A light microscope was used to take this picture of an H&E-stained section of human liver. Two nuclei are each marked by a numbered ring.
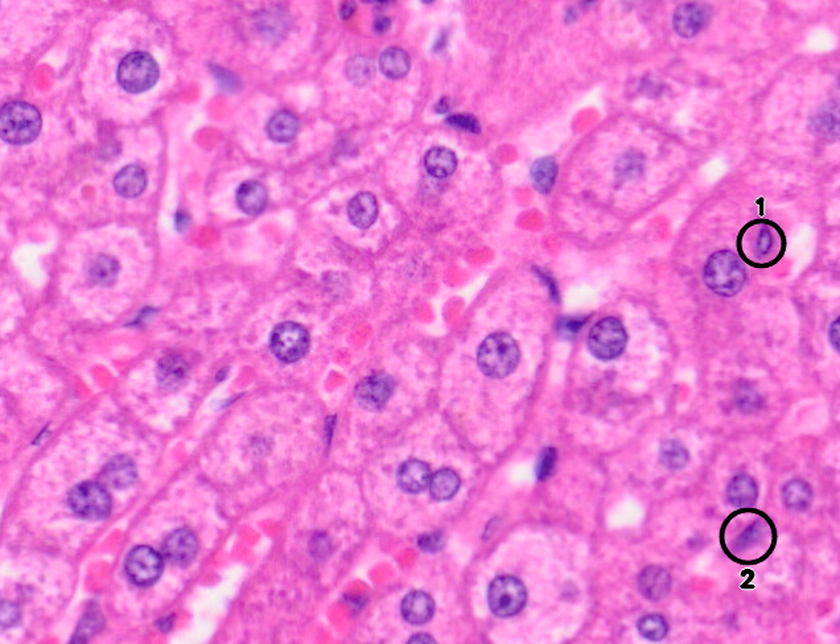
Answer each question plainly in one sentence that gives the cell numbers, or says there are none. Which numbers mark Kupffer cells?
Whereas cell 1 is a Kupffer cell, the other numbered cells are not.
